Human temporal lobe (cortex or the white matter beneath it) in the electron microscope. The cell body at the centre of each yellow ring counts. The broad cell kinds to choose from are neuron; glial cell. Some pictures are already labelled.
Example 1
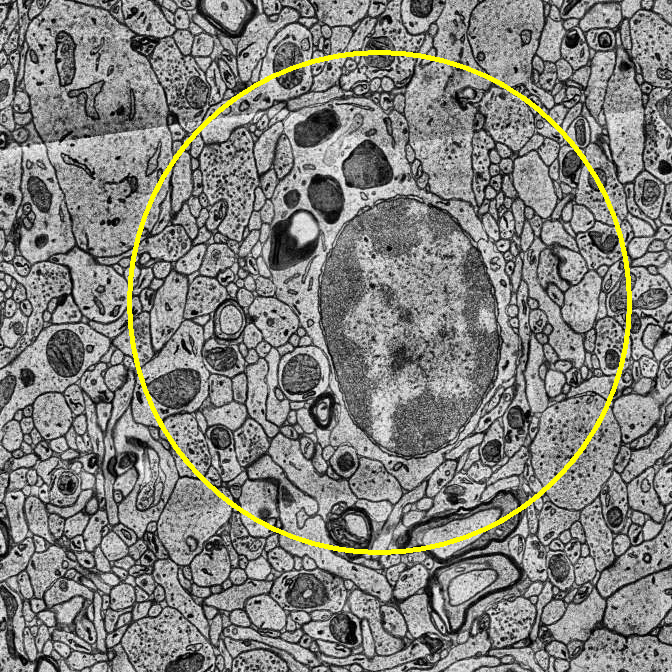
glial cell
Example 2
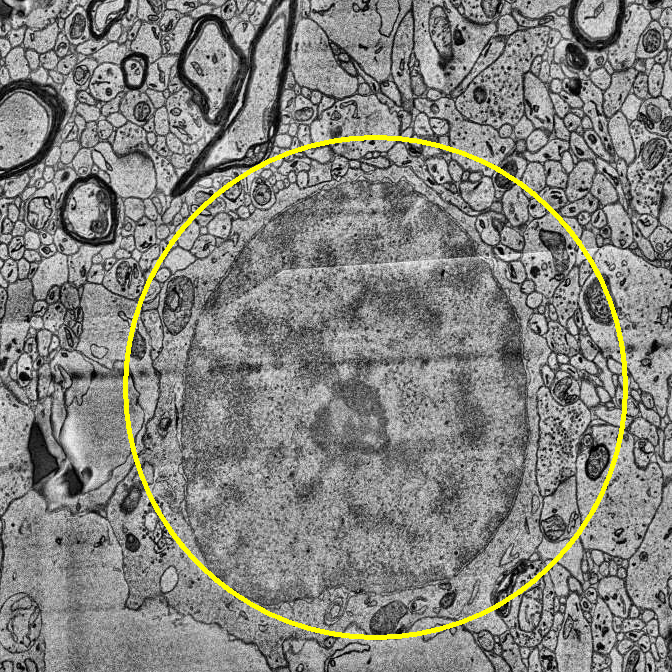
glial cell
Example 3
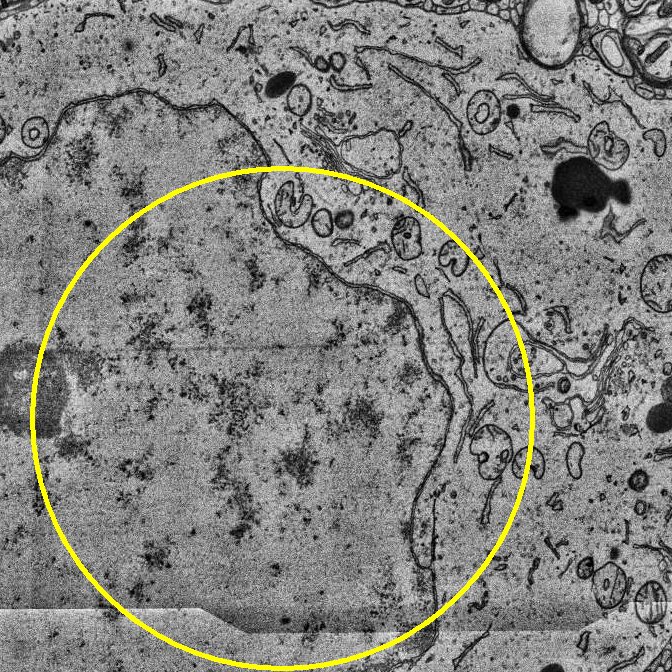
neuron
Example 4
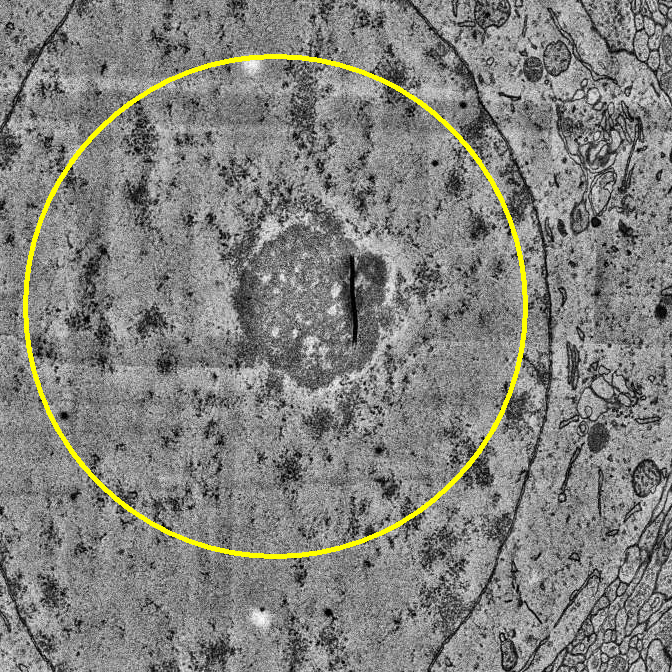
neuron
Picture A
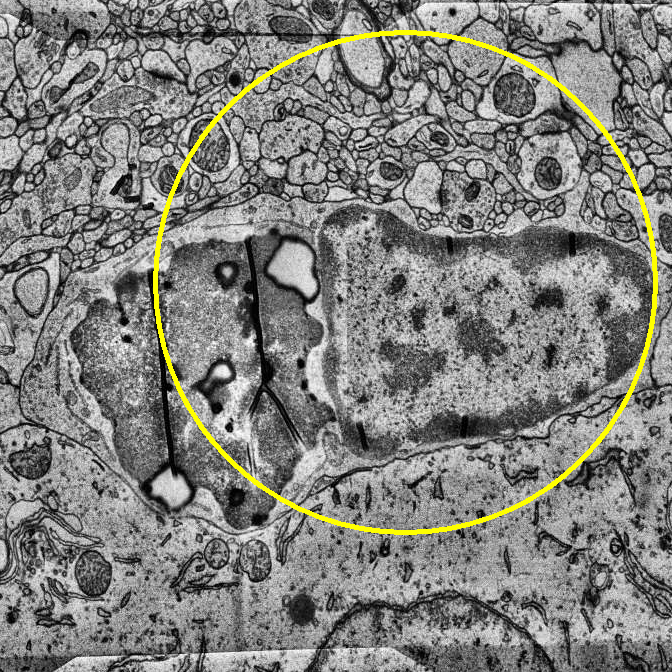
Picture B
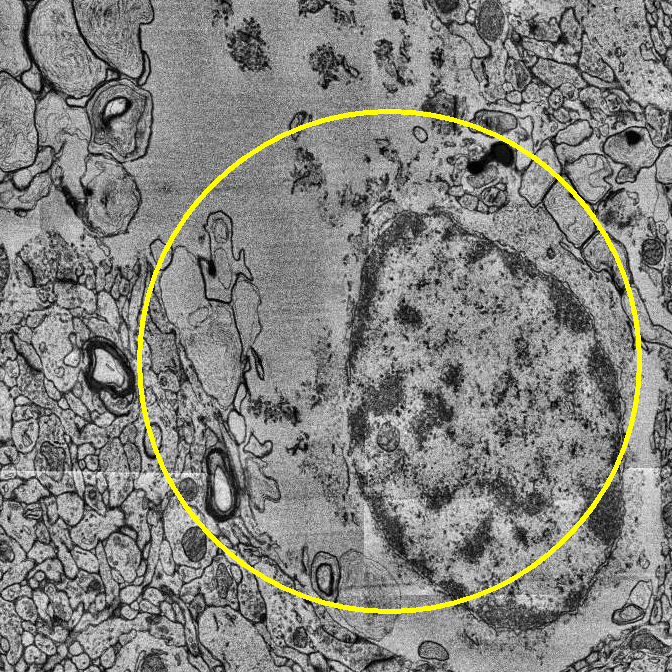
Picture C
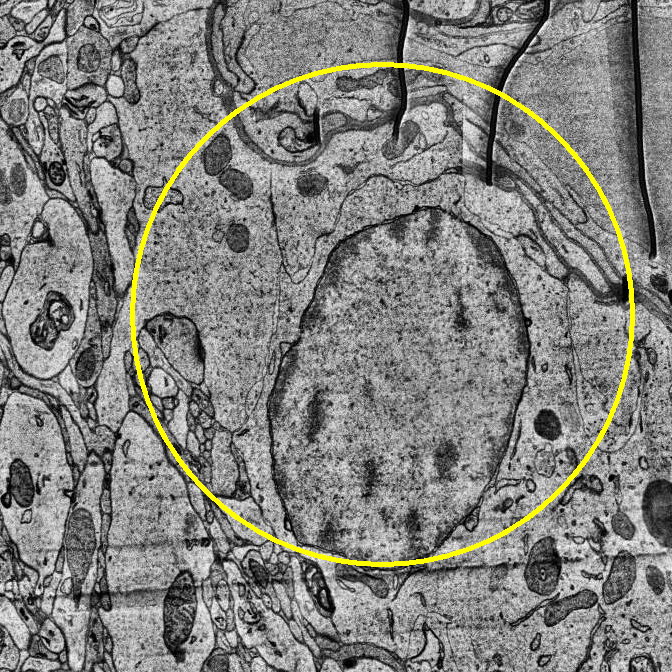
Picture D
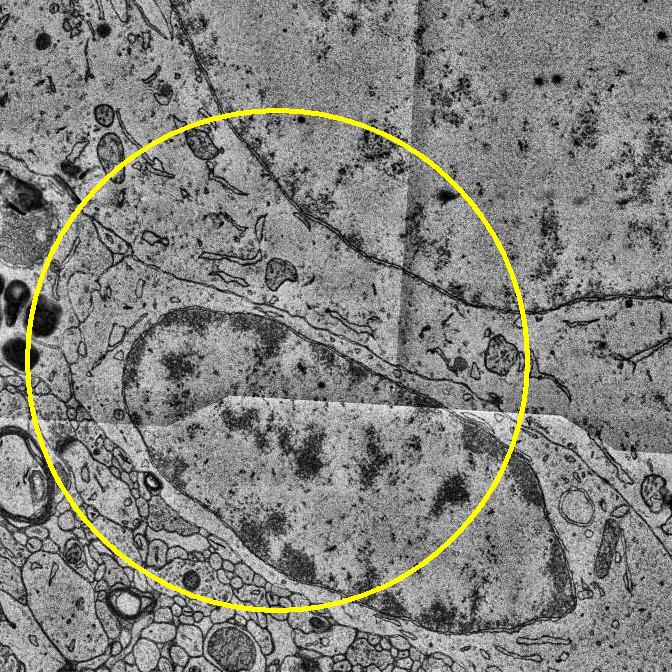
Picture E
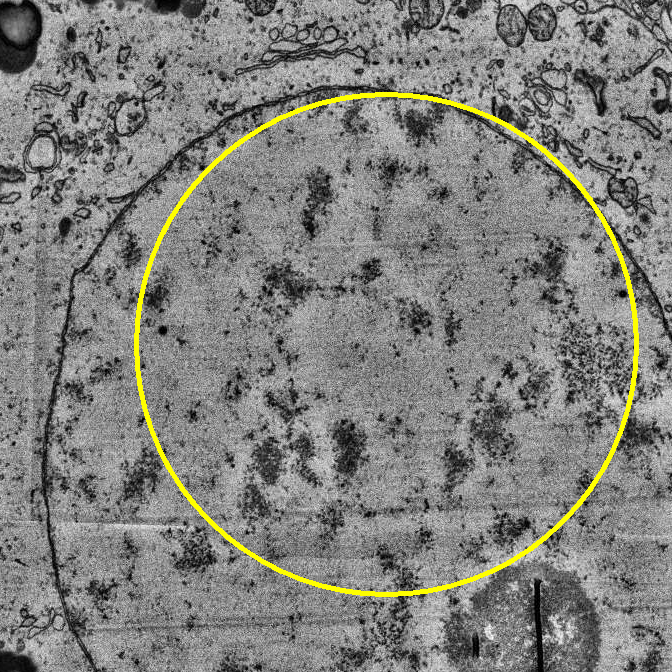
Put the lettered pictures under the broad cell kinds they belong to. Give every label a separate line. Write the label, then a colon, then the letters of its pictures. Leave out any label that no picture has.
neuron: E
glial cell: A, B, C, D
